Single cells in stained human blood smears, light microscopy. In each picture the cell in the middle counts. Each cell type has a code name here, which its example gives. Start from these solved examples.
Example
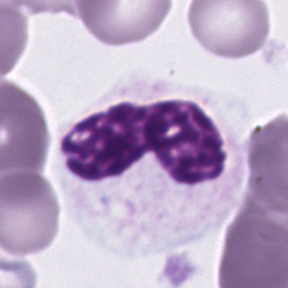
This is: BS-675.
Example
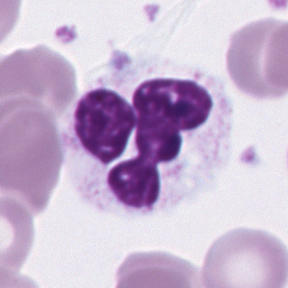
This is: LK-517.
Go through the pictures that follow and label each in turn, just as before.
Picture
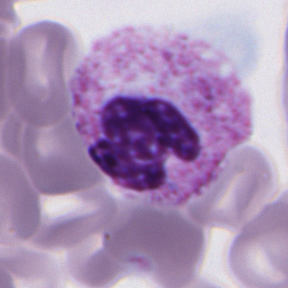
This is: LK-517.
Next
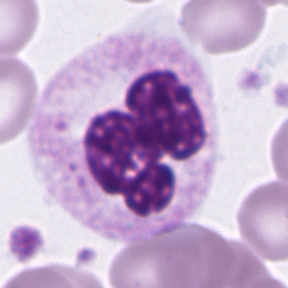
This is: LK-517.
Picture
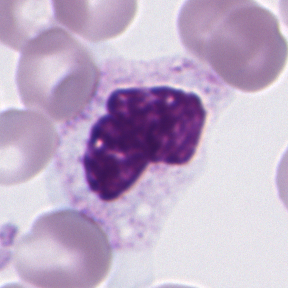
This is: LK-517.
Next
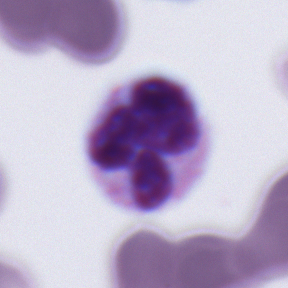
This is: LK-517.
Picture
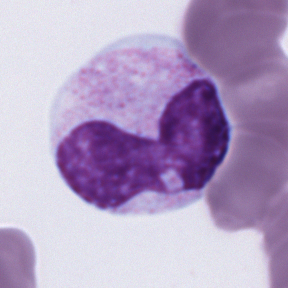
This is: BS-675.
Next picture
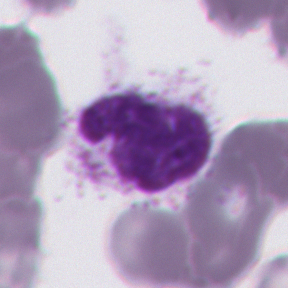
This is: LK-517.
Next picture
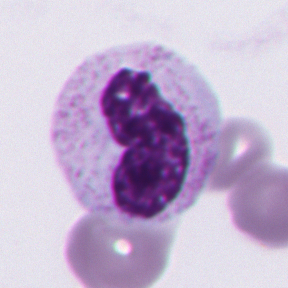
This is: BS-675.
